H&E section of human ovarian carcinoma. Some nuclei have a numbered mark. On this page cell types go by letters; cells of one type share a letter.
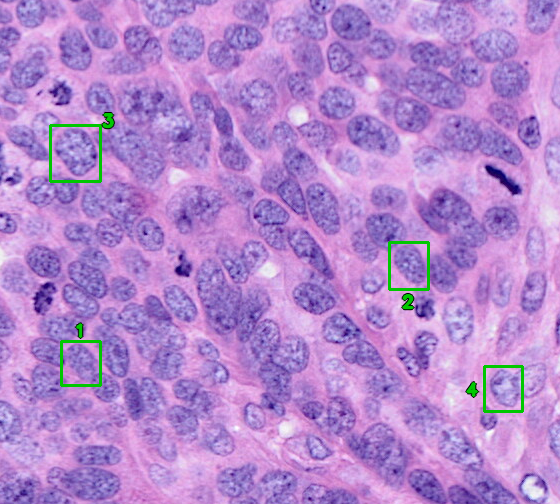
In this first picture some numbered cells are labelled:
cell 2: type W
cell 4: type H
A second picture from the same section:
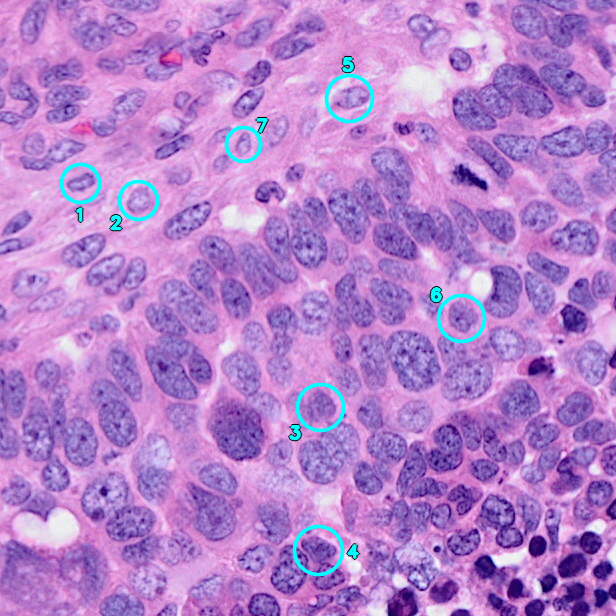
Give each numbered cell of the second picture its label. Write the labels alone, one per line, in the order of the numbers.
type H
type H
type W
type W
type H
type W
type H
